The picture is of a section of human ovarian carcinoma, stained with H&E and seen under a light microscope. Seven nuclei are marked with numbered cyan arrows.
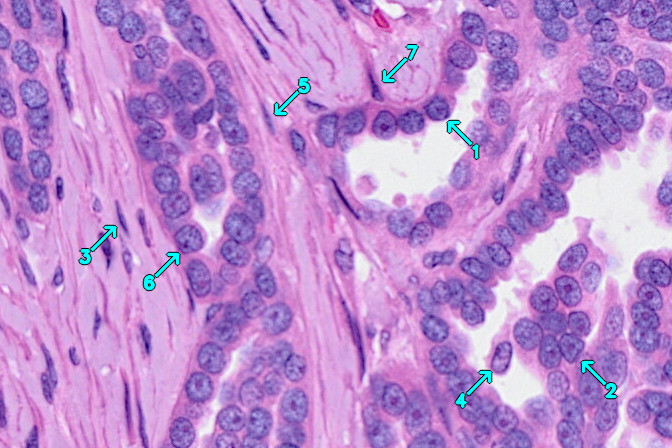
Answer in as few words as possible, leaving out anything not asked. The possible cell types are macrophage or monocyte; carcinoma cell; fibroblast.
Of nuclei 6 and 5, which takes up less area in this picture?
5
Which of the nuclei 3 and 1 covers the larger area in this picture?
1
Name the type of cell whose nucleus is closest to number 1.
carcinoma cell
